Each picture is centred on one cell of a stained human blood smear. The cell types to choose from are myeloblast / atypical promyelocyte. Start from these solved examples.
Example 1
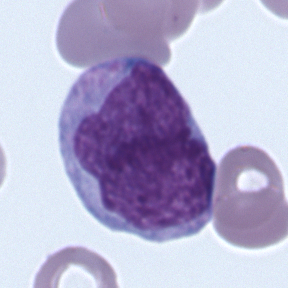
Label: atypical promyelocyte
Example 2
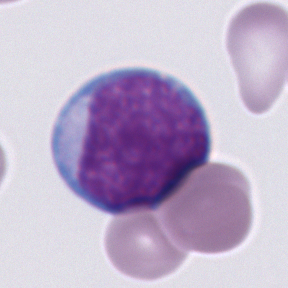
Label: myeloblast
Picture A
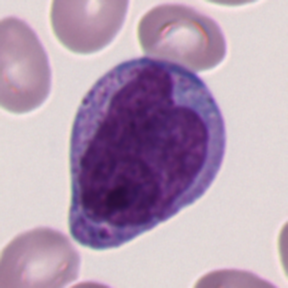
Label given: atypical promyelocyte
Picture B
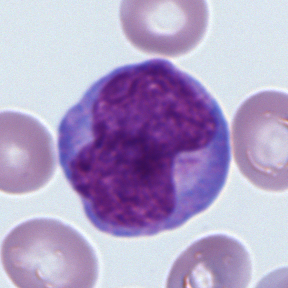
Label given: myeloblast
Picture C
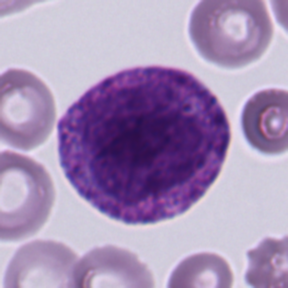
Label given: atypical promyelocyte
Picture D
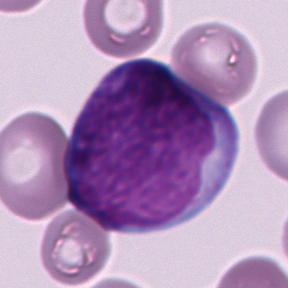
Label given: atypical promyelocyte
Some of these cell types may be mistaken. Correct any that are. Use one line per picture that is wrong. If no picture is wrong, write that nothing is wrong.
B should be atypical promyelocyte, not myeloblast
